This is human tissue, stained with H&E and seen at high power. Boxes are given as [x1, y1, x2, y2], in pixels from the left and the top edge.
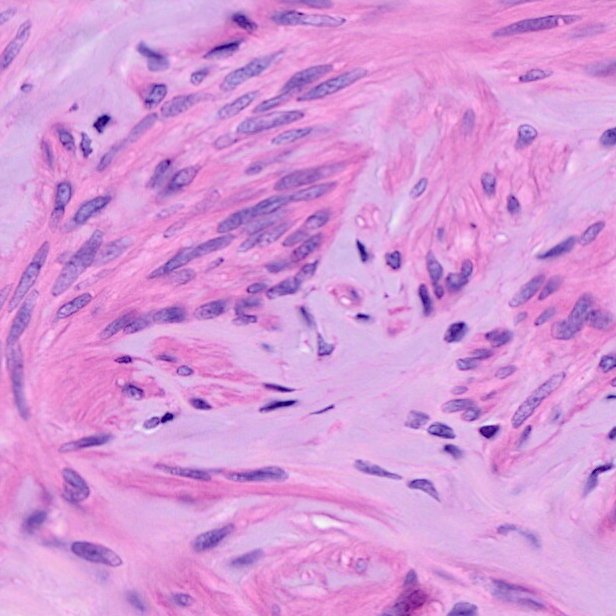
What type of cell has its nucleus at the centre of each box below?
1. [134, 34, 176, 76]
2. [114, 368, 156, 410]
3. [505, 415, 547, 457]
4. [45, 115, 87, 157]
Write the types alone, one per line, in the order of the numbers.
fibroblast
smooth muscle cell
smooth muscle cell
smooth muscle cell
